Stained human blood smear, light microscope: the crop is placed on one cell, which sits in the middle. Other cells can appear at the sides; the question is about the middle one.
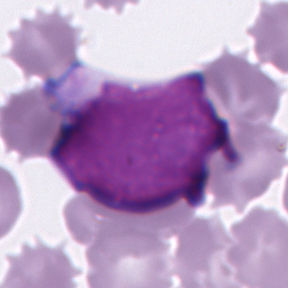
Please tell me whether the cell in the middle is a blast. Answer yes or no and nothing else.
yes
